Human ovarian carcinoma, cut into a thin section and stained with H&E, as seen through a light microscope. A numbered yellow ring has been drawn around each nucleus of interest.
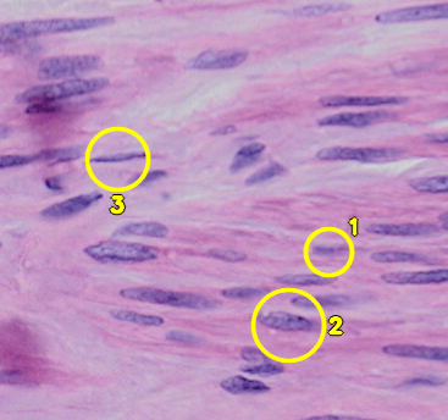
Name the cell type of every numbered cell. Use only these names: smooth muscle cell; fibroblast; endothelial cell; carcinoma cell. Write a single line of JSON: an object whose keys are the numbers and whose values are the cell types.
{"1": "smooth muscle cell", "2": "smooth muscle cell", "3": "fibroblast"}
